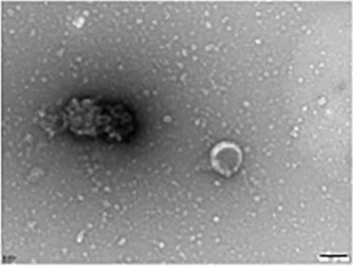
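This electron micrograph shows tiny extracellular vesicles lying on a grey, finely speckled background, not whole cells. Right of centre sits one small round vesicle with a pale, ring-like rim around a slightly darker centre, giving it a cup- or ring-shaped look. To its left lies a larger, irregular, darker clump of granular material surrounded by a diffuse dark halo. Many fine pale dots are scattered across the rest of the field.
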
